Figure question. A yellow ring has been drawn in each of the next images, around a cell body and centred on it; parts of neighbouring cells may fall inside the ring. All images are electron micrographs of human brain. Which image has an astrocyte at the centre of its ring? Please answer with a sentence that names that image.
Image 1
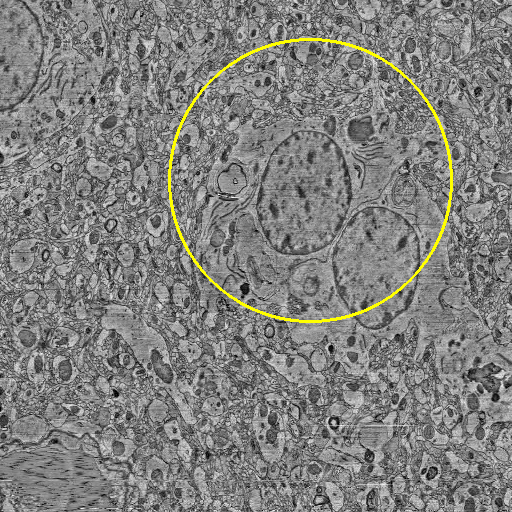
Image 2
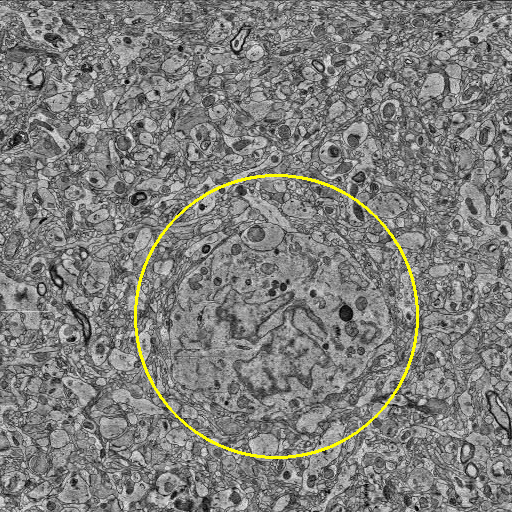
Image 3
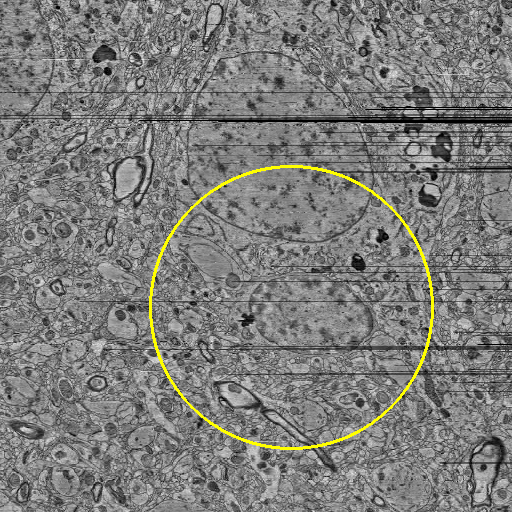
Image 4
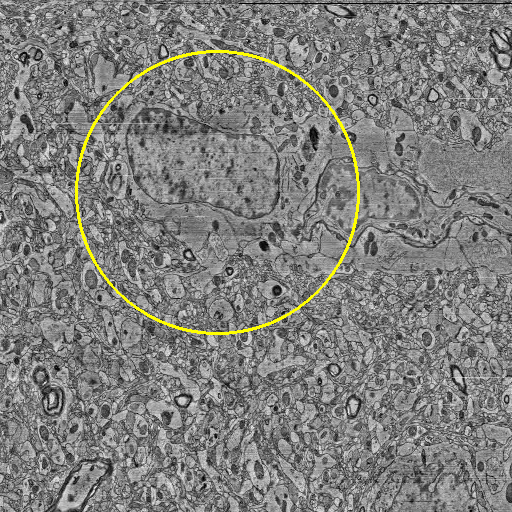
The cell at the centre of the ring in Image 1 is of that kind.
